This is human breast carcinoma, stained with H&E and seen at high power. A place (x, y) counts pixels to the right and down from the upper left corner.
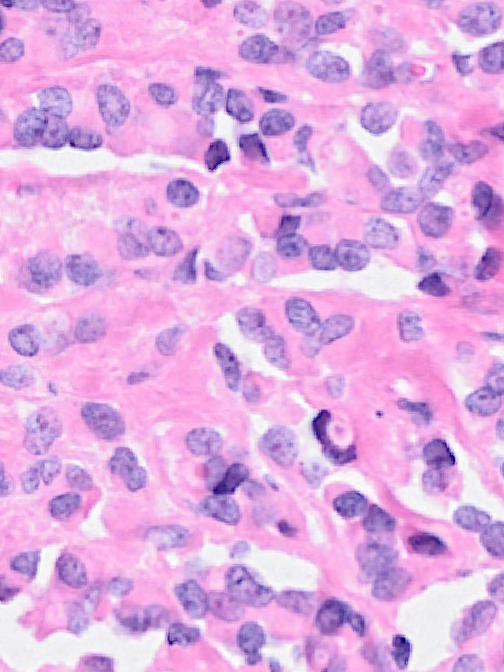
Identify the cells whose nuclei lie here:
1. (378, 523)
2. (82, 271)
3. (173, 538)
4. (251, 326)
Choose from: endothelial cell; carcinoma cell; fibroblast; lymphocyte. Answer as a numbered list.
1. carcinoma cell
2. carcinoma cell
3. endothelial cell
4. carcinoma cell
